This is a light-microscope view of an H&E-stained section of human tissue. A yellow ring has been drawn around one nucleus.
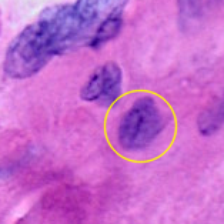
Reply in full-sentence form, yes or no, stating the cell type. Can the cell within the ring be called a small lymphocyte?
No, far from being a small lymphocyte, the cell within the ring is a squamous carcinoma cell.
